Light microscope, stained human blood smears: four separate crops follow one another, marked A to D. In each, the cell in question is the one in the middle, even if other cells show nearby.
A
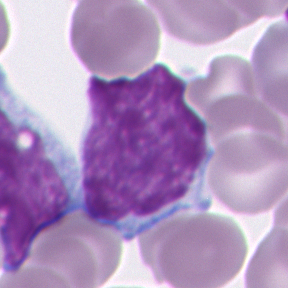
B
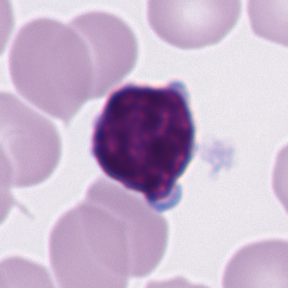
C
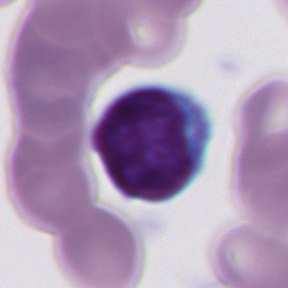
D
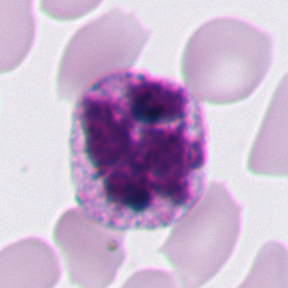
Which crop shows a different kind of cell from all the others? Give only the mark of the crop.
D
